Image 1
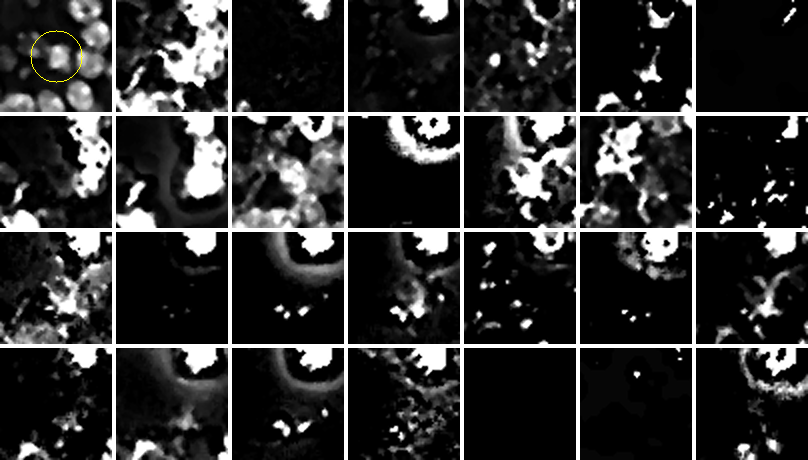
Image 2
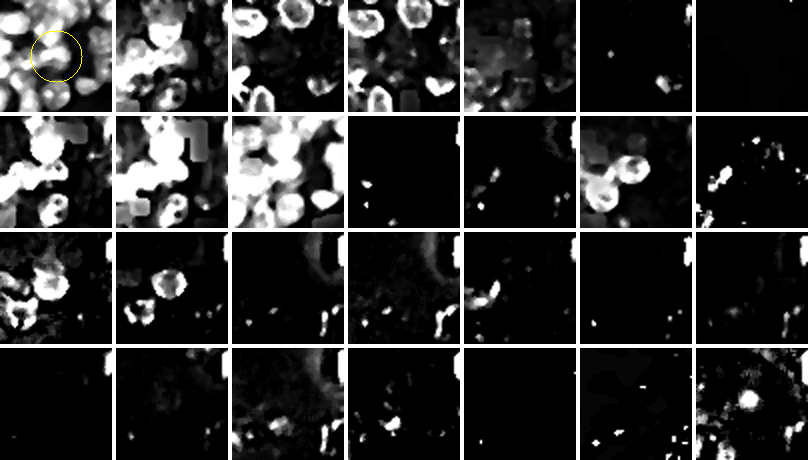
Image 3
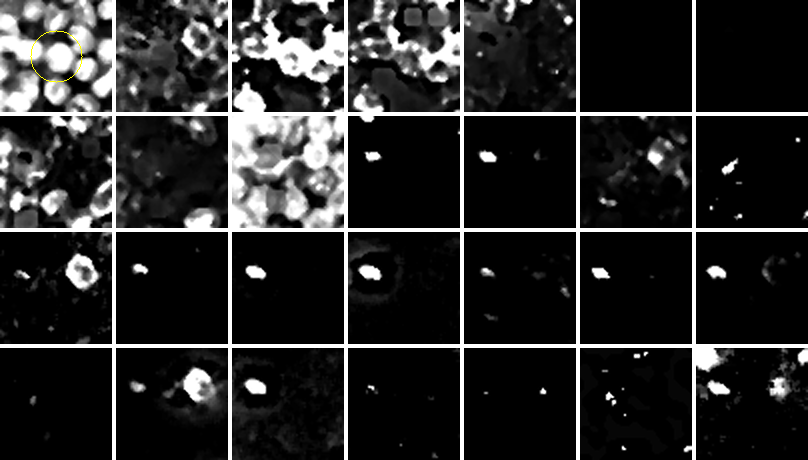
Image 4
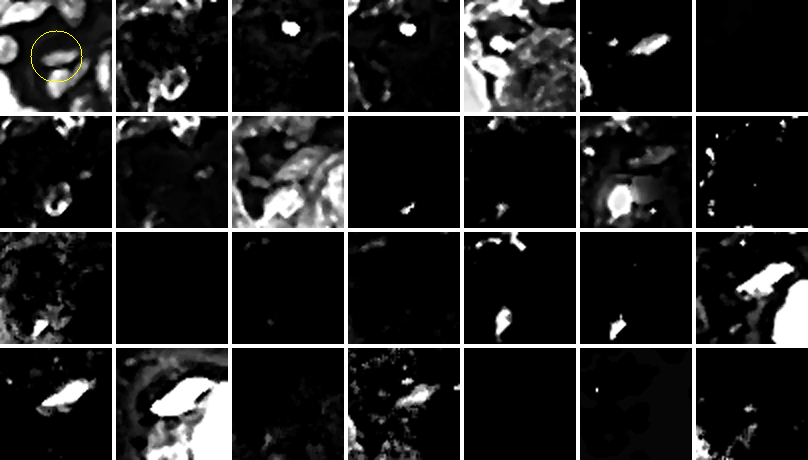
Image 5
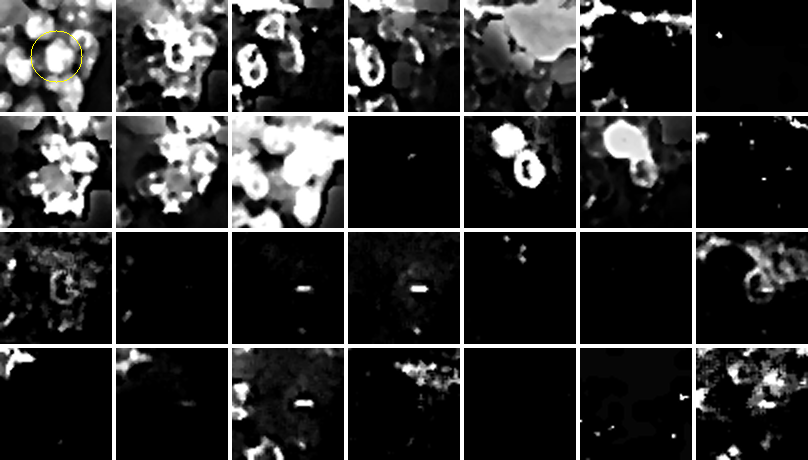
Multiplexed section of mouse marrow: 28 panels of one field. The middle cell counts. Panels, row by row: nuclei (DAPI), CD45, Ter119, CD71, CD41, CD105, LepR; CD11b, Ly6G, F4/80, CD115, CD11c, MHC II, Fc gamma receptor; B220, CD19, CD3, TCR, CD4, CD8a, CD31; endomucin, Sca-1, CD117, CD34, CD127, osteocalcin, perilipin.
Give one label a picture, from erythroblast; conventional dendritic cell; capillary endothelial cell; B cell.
(1) conventional dendritic cell
(2) B cell
(3) erythroblast
(4) capillary endothelial cell
(5) conventional dendritic cell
